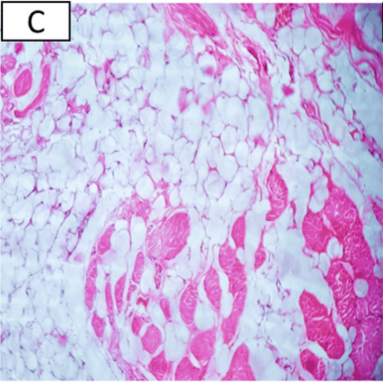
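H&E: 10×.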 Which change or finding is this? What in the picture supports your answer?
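Bright pink bundles of muscle fibres cut in cross section. Clear fat cells lying between and around the muscle bundles. So: Intra- and intermuscular infiltration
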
